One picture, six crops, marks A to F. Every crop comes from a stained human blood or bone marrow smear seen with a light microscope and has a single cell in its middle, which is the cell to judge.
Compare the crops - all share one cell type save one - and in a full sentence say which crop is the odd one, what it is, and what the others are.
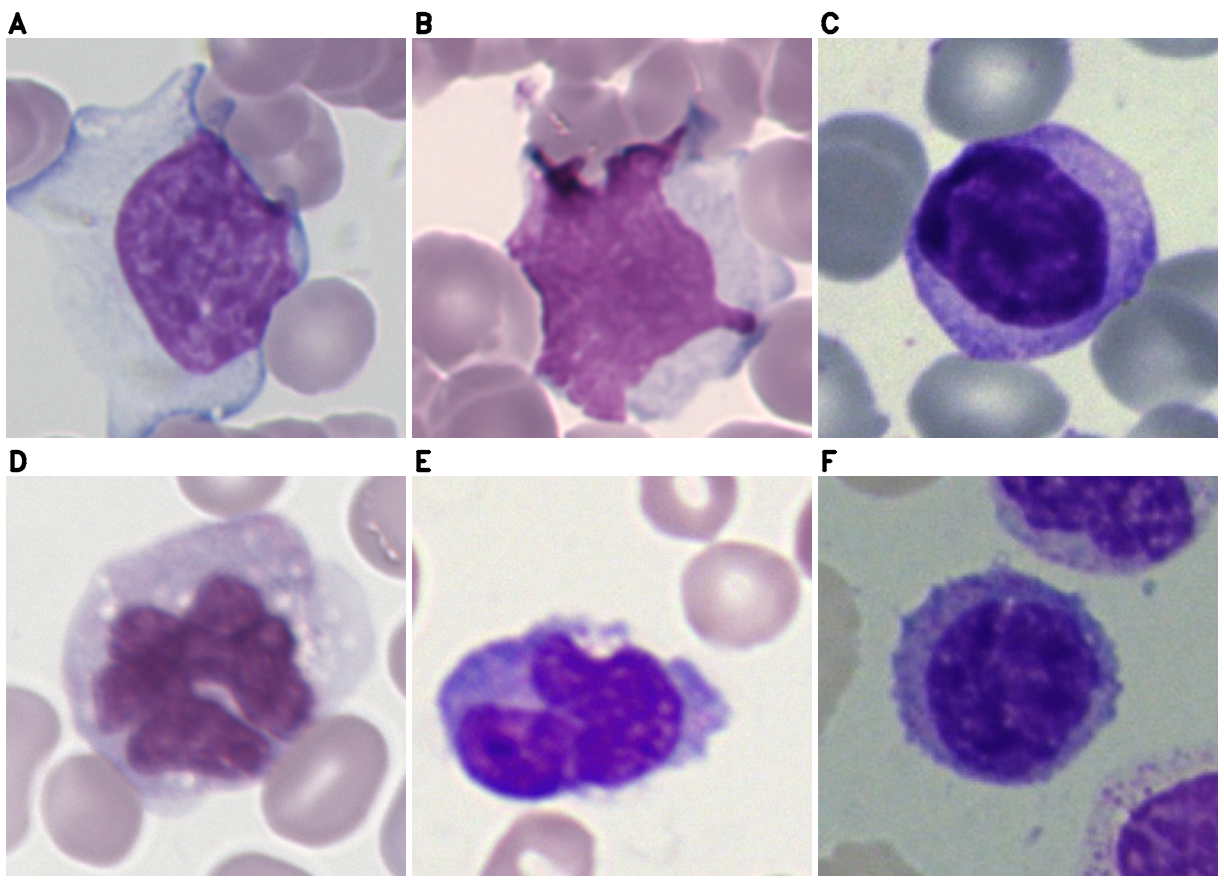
Crop A is the outlier, with a blast against monocytes in the rest.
